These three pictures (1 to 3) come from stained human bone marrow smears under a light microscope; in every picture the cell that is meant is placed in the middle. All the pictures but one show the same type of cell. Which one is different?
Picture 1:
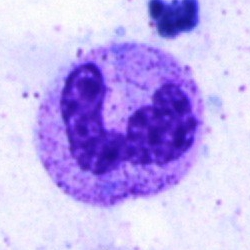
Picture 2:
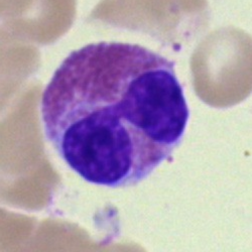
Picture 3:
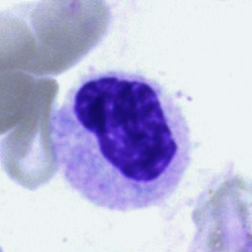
2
